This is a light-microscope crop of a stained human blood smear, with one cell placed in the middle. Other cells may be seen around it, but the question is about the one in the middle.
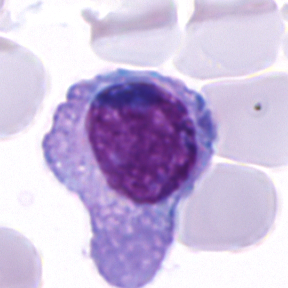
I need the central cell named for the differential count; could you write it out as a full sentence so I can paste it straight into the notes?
This crop's central cell is a plasma cell.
